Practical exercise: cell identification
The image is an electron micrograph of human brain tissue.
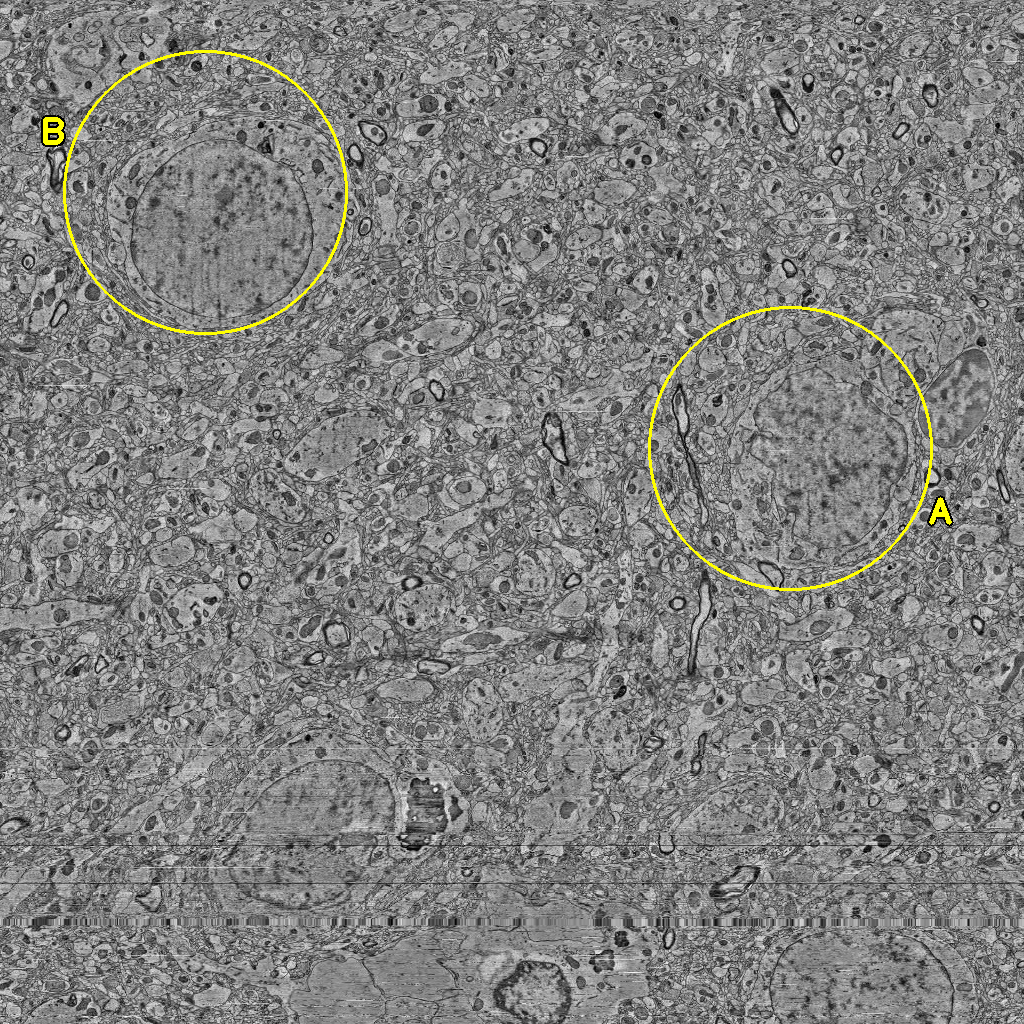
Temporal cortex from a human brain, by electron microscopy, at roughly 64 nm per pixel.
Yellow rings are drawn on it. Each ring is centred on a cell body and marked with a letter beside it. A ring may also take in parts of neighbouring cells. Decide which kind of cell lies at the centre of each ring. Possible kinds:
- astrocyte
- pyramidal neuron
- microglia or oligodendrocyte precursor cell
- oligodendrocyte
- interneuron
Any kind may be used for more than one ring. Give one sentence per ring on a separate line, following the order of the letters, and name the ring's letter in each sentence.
The cell in the middle of ring A is an interneuron.
The cell in the middle of ring B is a pyramidal neuron.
